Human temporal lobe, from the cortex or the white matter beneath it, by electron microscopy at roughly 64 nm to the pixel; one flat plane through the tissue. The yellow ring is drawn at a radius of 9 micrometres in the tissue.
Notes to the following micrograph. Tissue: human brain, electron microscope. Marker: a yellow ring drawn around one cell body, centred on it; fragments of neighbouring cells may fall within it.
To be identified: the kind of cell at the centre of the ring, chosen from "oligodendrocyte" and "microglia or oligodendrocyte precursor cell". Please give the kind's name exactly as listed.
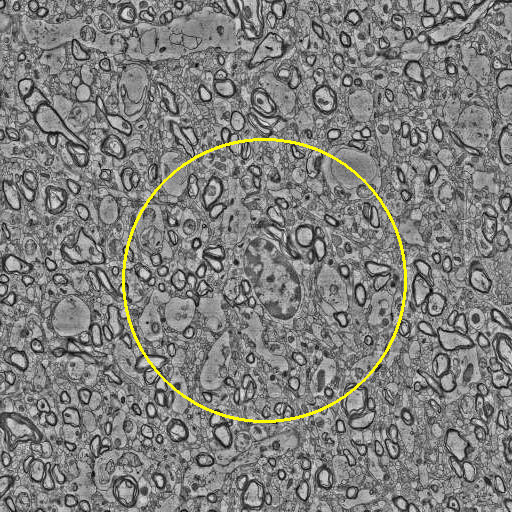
microglia or oligodendrocyte precursor cell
